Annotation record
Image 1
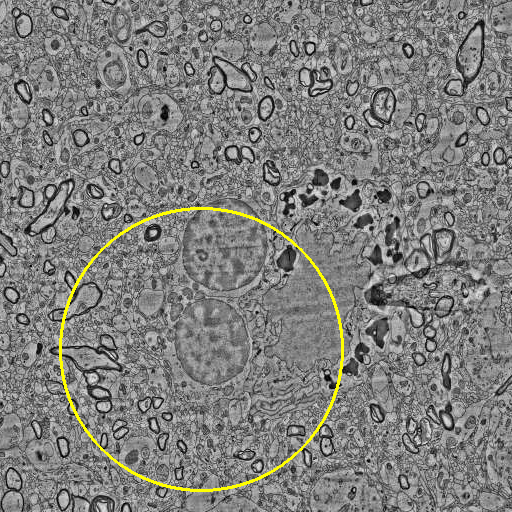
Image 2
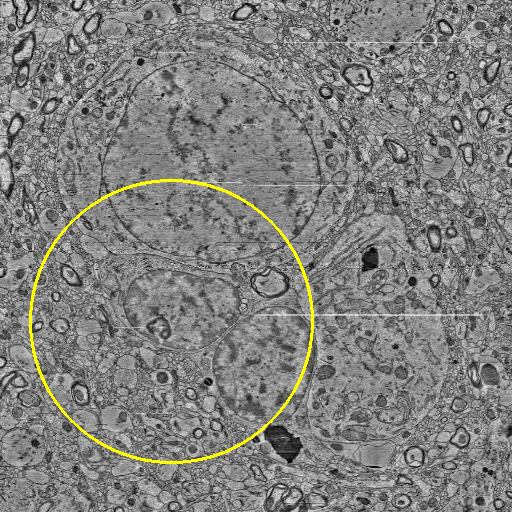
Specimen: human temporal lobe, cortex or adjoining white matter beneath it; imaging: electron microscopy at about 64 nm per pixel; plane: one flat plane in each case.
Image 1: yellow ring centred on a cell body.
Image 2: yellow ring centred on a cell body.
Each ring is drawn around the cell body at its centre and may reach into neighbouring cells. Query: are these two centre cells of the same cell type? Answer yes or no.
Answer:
yes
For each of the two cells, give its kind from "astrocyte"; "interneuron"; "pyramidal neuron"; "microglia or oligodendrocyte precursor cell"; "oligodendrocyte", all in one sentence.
In each picture the ringed cell is an oligodendrocyte.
